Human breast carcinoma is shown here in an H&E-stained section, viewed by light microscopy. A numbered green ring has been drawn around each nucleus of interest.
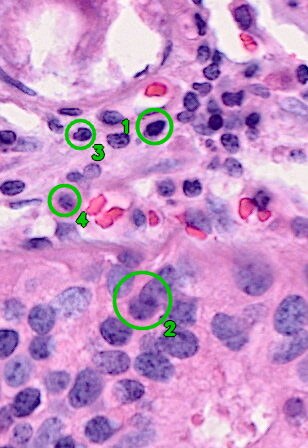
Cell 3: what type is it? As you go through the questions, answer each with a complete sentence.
The cell given label 3 is a lymphocyte.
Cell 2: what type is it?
It is as a carcinoma cell that the cell numbered 2 is identified.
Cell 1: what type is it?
The identity of cell 1 is that of a lymphocyte.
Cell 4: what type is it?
Nucleus 4 in this section belongs to a mast cell.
